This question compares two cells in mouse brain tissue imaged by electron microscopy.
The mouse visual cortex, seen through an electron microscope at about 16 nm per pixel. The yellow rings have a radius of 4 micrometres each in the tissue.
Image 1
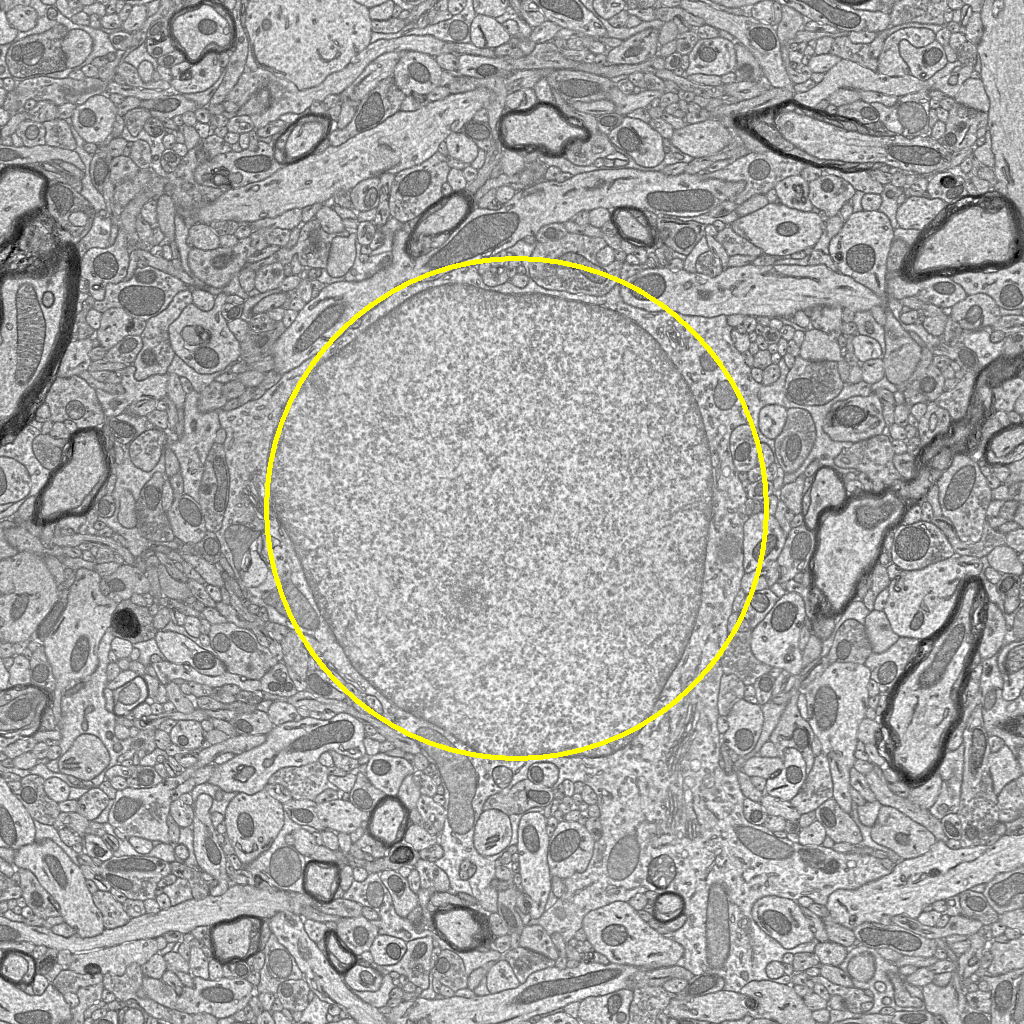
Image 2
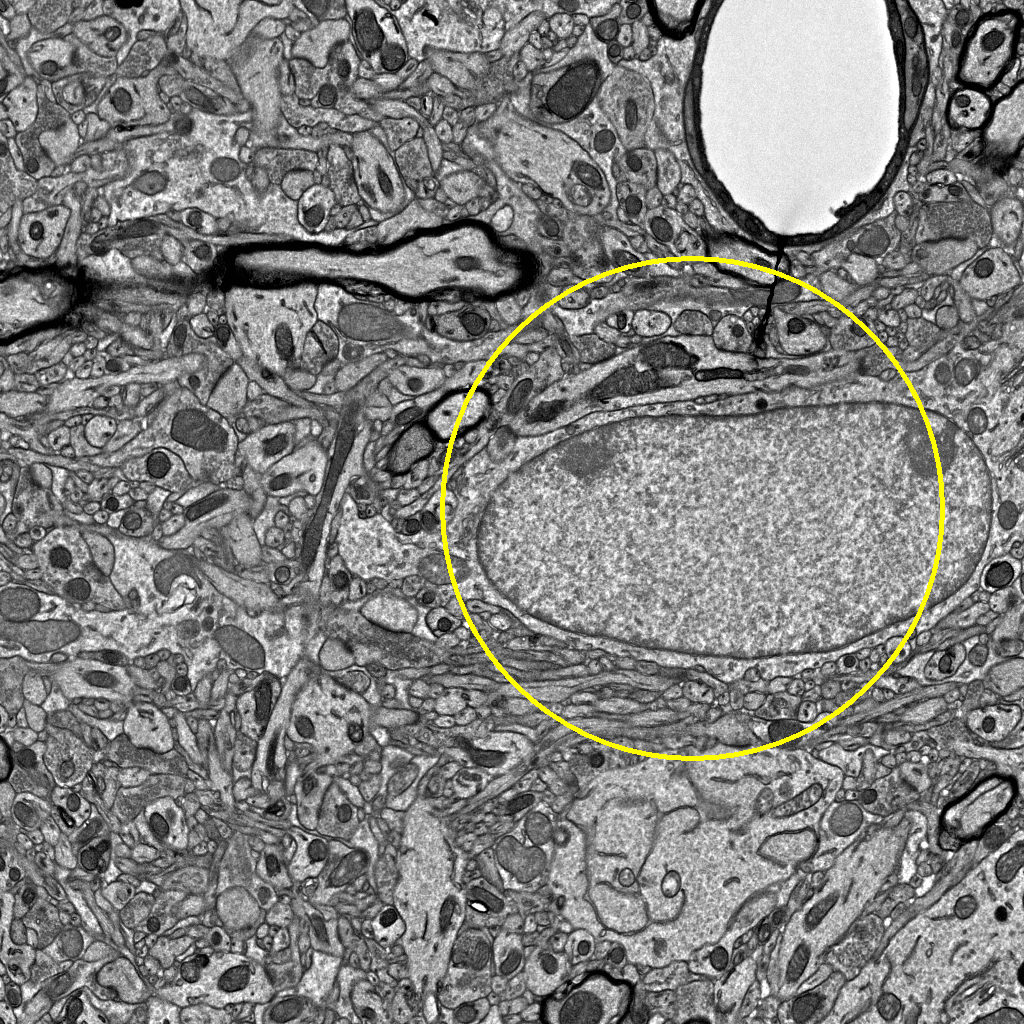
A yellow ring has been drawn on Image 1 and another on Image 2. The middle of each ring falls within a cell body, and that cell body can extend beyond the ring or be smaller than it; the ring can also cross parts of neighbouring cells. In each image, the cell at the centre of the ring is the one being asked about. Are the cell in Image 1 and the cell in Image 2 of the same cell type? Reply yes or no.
yes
